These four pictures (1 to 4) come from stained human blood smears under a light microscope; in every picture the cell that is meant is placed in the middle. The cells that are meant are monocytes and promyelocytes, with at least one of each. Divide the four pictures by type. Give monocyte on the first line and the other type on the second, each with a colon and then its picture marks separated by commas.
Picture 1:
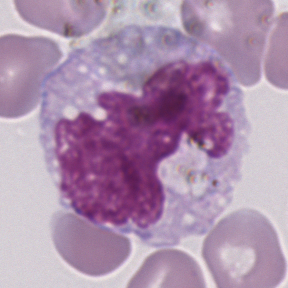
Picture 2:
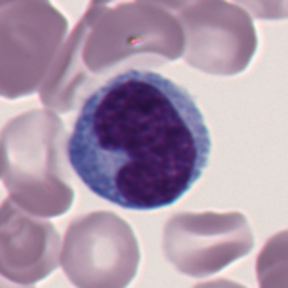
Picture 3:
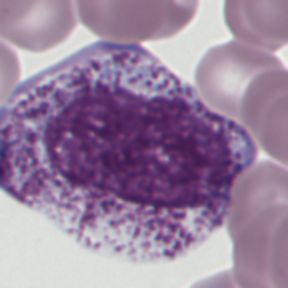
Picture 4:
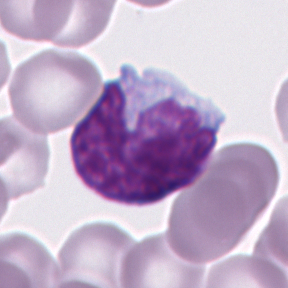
monocyte: 1, 2, 4
promyelocyte: 3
